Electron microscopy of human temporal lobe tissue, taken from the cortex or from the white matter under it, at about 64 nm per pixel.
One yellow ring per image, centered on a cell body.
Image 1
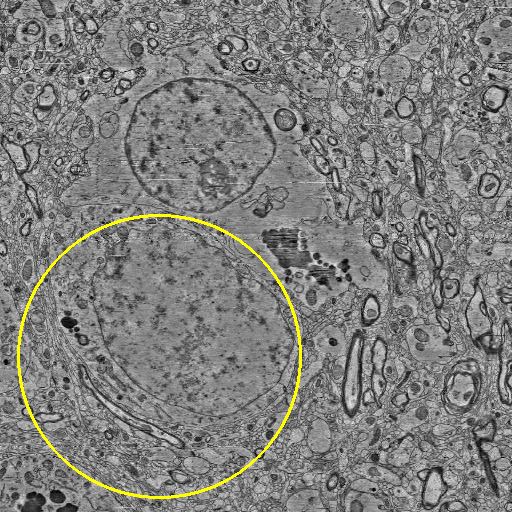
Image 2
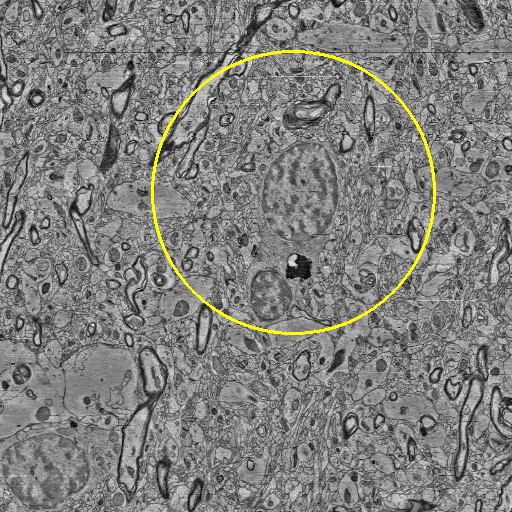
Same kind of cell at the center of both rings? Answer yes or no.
no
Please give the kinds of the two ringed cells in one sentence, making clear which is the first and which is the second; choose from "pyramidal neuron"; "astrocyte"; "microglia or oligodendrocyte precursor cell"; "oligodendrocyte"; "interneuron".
In the second picture the ringed cell is an oligodendrocyte; in the first it is a pyramidal neuron.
